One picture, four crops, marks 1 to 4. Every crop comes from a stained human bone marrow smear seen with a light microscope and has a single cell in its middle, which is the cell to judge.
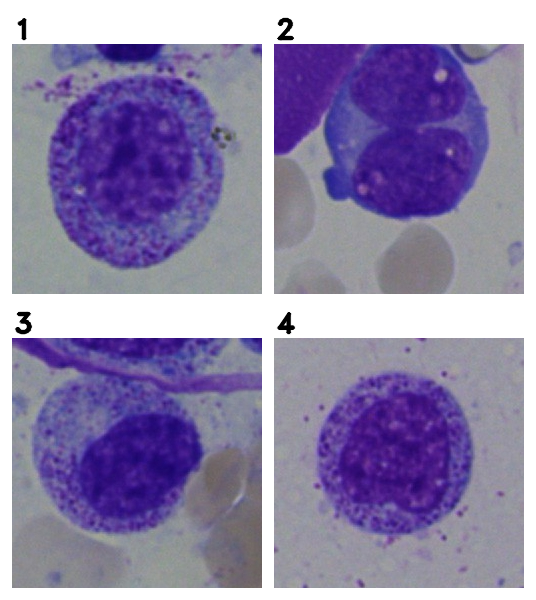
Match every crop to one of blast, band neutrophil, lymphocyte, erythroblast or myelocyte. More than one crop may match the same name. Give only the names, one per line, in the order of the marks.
myelocyte
blast
myelocyte
myelocyte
